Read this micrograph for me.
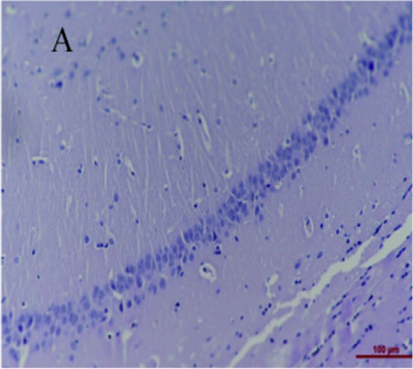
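A curved band several cells thick of closely packed, rounded to triangular neuronal cell bodies, stained blue-purple, runs diagonally from the lower left to the upper right across the hippocampal tissue. On either side lies pale, finely fibrous tissue holding only scattered small dark nuclei and a few small vessel profiles. A white cleft crosses the lower right corner. The dense band is the pyramidal cell layer of the hippocampus, with the paler layers above and below it.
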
